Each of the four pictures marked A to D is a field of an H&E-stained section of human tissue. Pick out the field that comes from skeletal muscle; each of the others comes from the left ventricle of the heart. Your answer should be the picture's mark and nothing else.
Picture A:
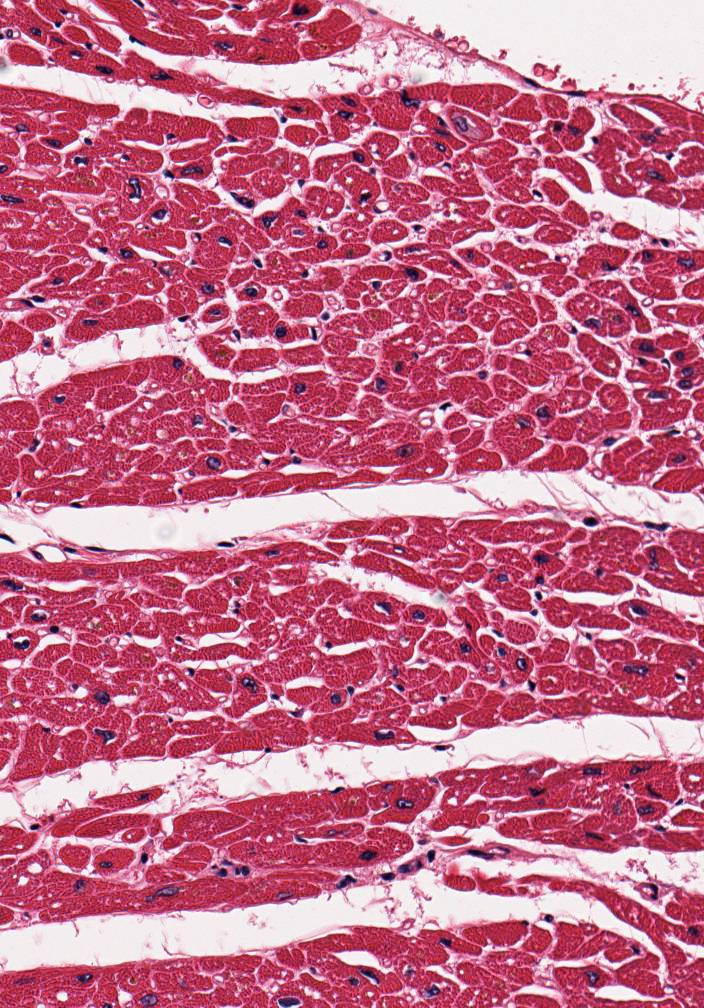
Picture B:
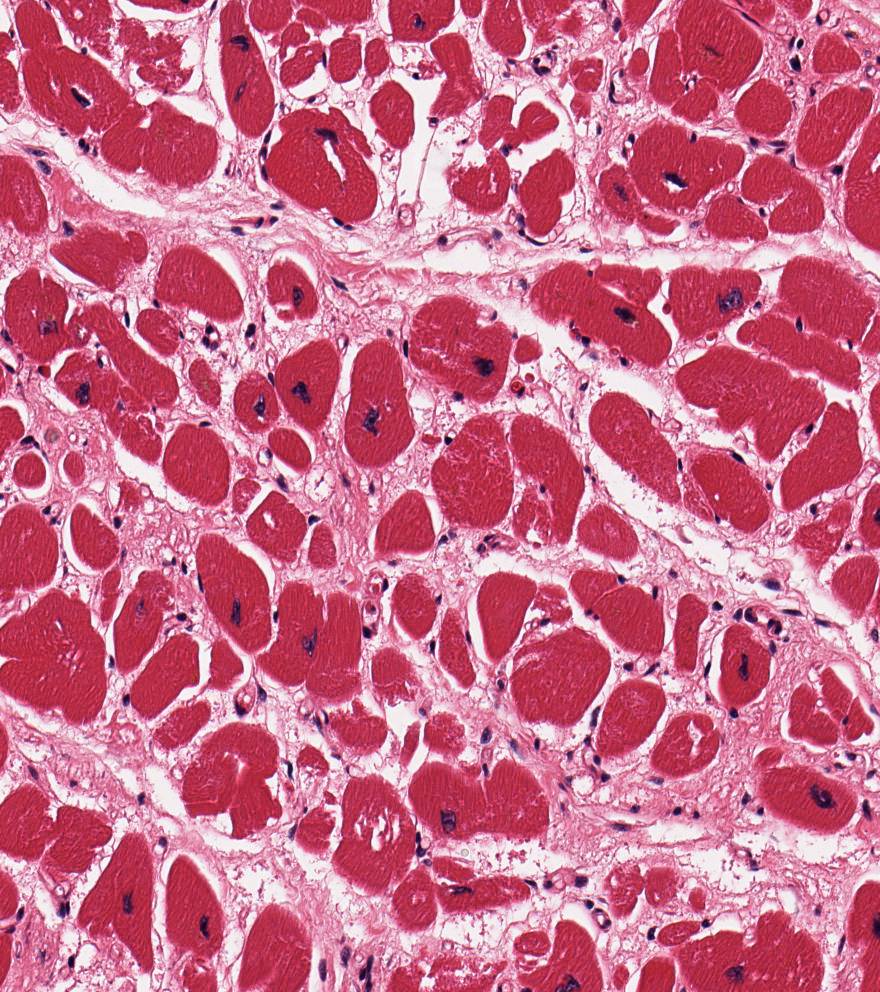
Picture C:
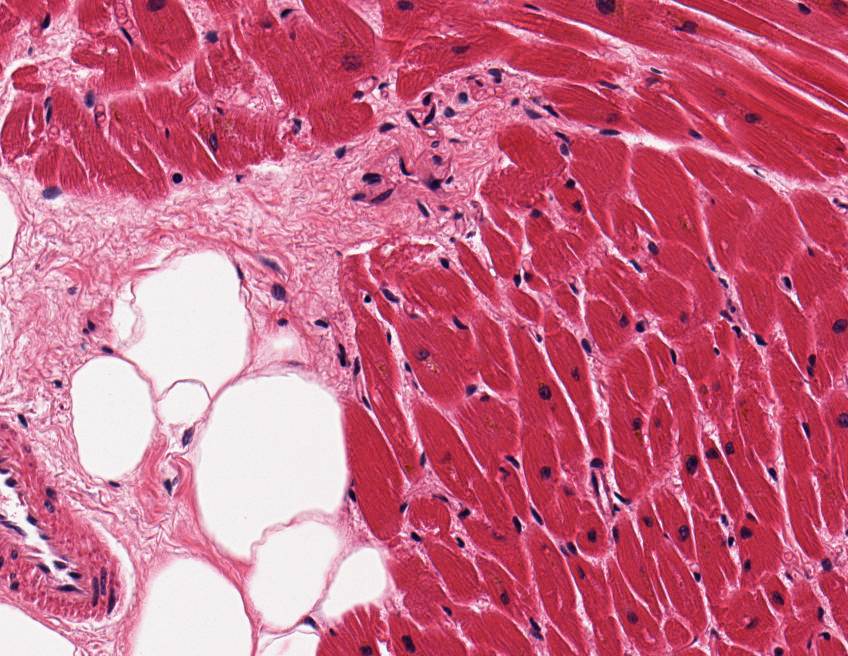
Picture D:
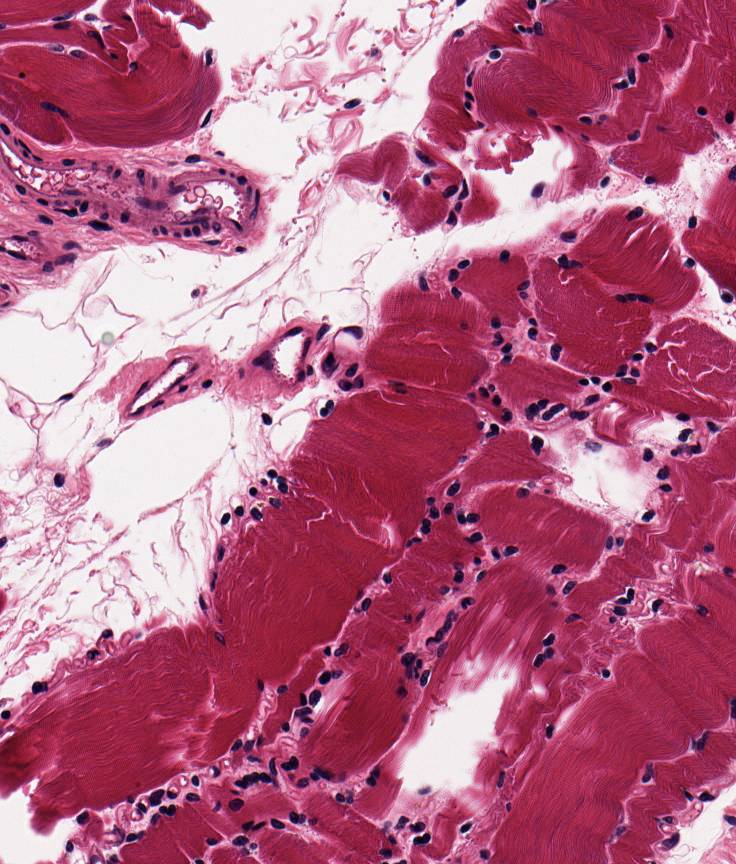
D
